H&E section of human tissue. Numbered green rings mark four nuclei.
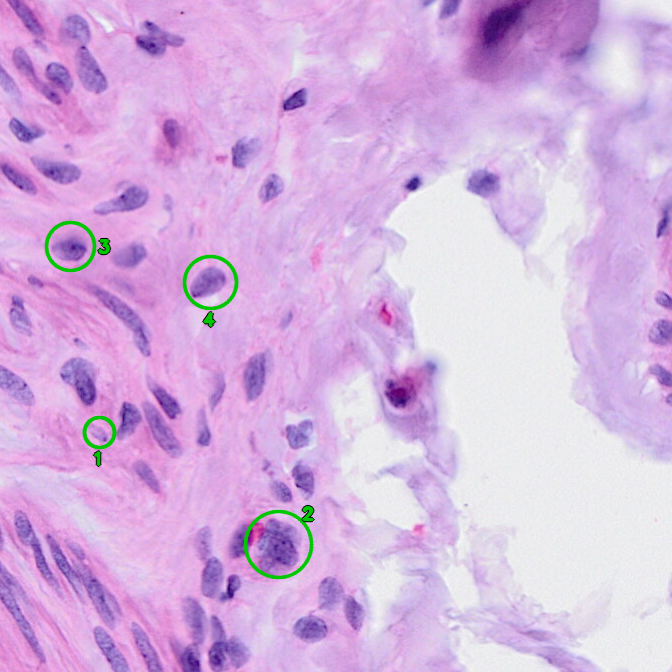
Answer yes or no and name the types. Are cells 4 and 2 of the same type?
No, in contrast to cell 4, which is a fibroblast, cell 2 is an endothelial cell.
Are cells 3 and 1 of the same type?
No, the cell numbered 3 is a fibroblast, and the cell numbered 1 is a smooth muscle cell.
